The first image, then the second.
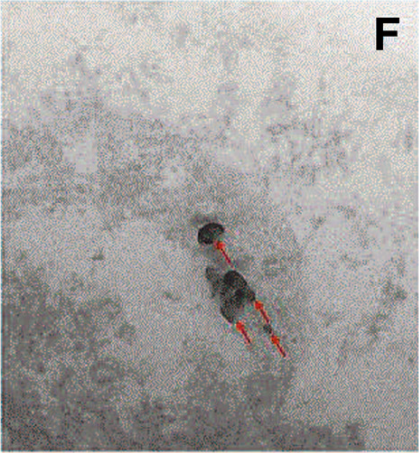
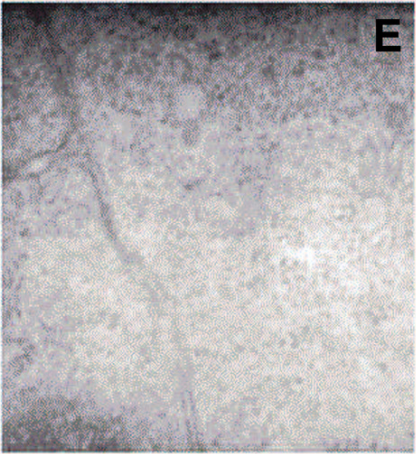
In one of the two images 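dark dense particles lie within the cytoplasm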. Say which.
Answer: The first image.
